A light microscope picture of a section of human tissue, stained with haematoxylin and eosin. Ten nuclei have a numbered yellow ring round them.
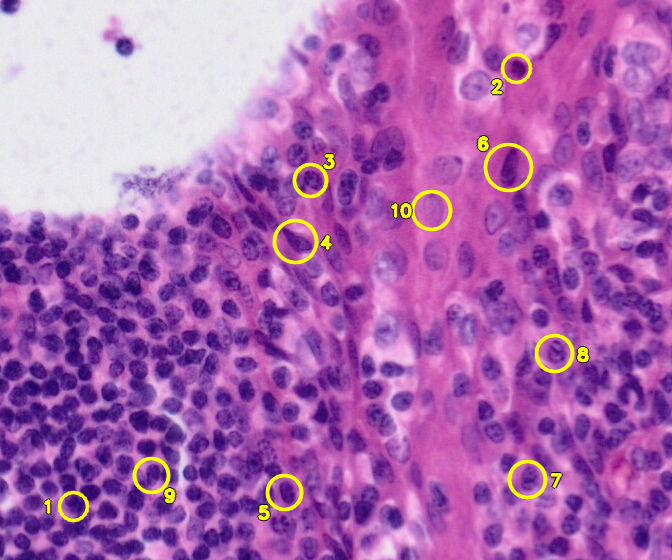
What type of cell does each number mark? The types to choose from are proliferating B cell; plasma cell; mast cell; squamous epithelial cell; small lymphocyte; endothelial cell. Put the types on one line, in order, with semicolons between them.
small lymphocyte; squamous epithelial cell; plasma cell; squamous epithelial cell; plasma cell; squamous epithelial cell; plasma cell; plasma cell; small lymphocyte; squamous epithelial cell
